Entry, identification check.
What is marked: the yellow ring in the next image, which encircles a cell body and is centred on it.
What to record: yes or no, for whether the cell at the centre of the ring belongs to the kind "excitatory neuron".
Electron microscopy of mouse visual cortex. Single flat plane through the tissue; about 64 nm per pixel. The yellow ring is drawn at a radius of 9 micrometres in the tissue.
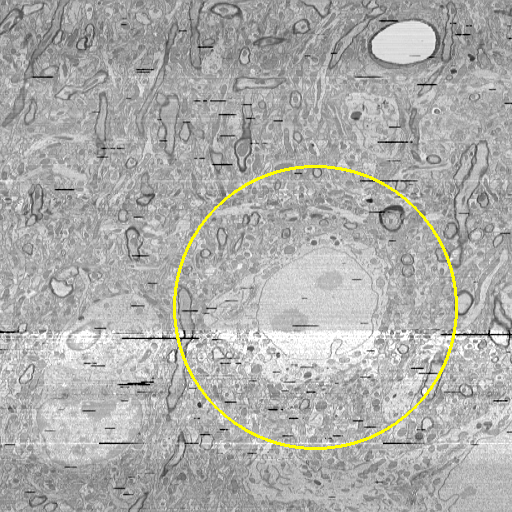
Yes, it belongs to that kind.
